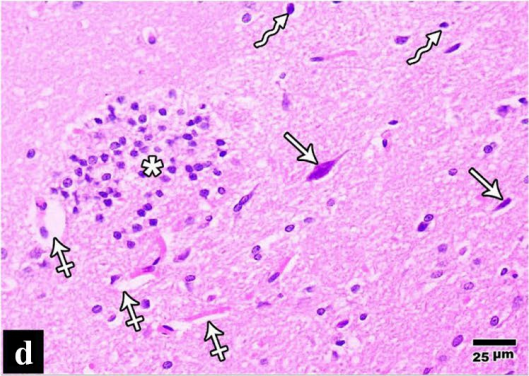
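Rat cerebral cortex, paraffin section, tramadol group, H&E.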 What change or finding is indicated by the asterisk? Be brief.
Inflammatory cell infiltration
